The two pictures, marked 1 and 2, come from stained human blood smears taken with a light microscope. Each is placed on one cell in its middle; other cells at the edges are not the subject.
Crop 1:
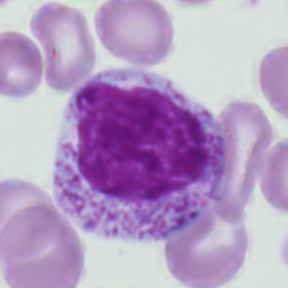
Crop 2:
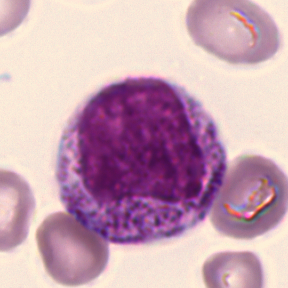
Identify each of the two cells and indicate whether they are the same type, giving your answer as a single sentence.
Yes, both crops are centred on cells that are myelocytes.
